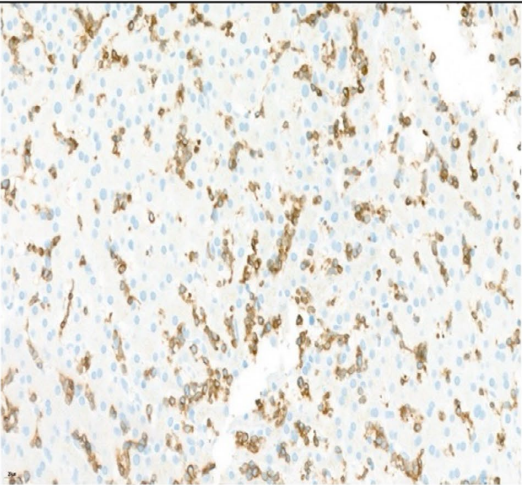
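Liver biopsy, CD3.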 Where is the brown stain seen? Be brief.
Sinusoidally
